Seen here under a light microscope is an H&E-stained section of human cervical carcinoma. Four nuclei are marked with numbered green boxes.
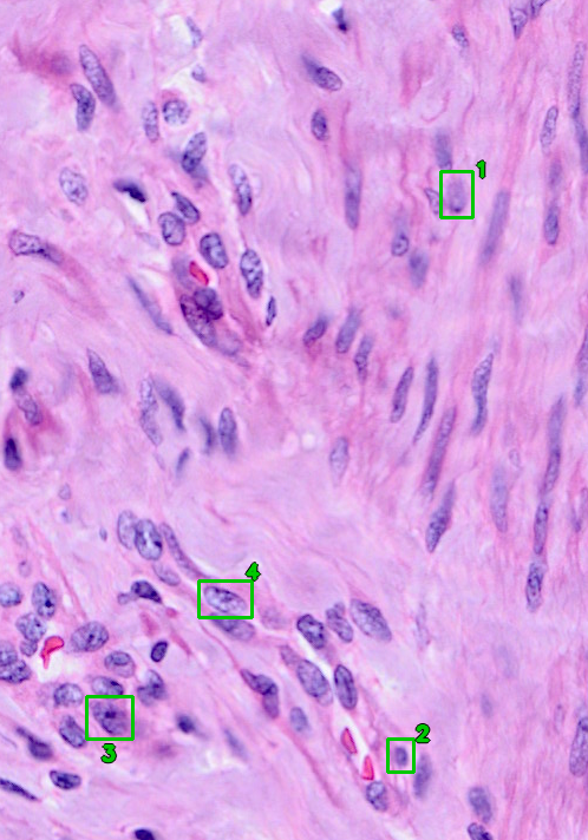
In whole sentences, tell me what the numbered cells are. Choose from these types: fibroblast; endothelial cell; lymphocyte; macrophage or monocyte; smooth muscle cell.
Cell 1 is a smooth muscle cell, cell 2 is an endothelial cell, cell 3 is an endothelial cell and cell 4 is an endothelial cell.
